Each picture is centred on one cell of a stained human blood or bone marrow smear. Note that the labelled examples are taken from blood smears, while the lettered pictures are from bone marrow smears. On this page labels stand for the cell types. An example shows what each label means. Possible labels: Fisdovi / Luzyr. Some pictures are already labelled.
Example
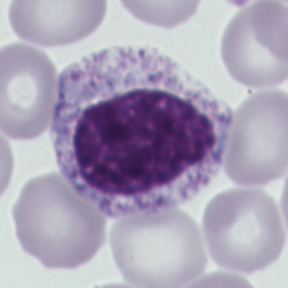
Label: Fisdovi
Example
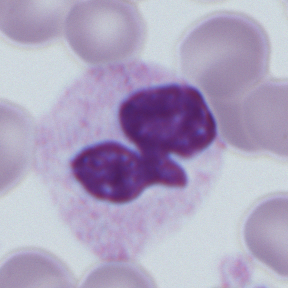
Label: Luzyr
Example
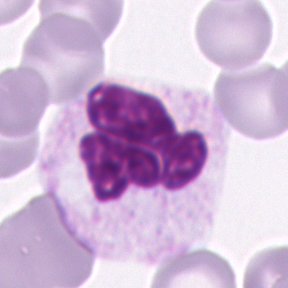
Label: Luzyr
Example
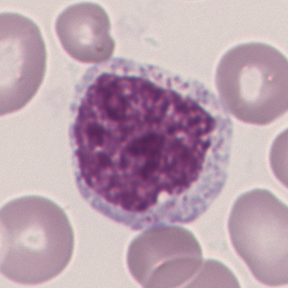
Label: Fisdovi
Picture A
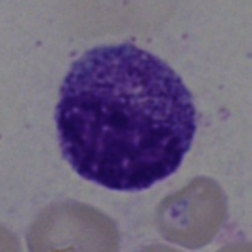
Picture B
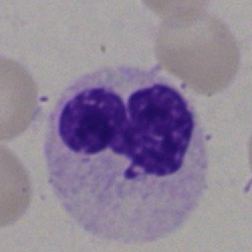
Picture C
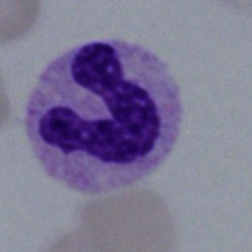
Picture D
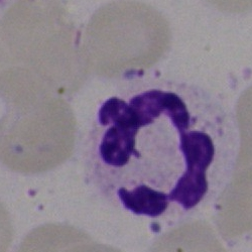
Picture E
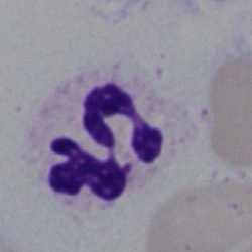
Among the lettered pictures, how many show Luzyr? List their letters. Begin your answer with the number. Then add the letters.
Count: 4 (B, C, D, E)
